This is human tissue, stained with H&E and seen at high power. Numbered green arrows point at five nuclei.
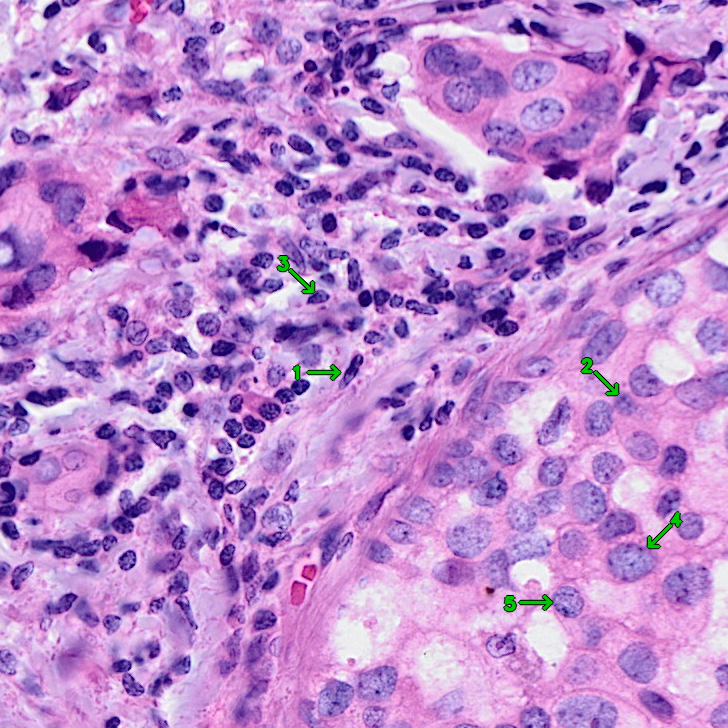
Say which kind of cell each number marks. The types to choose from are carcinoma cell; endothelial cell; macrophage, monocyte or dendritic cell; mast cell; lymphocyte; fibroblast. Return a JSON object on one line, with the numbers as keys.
{"1": "lymphocyte", "2": "carcinoma cell", "3": "lymphocyte", "4": "carcinoma cell", "5": "carcinoma cell"}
